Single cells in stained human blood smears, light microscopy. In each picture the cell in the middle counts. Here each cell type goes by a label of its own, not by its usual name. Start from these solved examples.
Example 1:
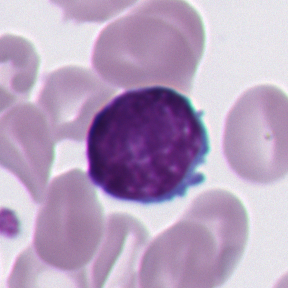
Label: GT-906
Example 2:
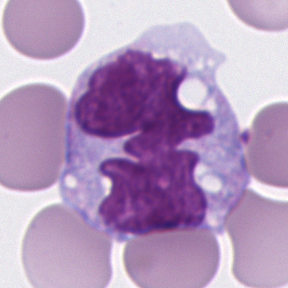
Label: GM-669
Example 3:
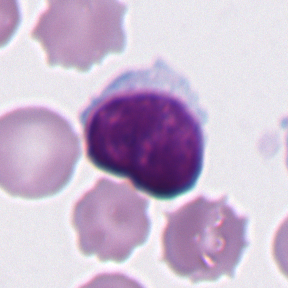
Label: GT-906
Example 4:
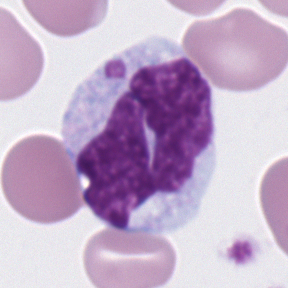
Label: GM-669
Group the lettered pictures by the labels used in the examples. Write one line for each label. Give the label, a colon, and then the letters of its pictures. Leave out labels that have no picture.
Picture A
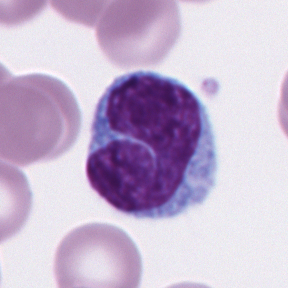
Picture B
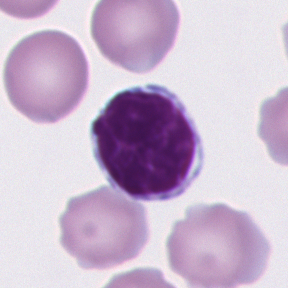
GT-906: B
GM-669: A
